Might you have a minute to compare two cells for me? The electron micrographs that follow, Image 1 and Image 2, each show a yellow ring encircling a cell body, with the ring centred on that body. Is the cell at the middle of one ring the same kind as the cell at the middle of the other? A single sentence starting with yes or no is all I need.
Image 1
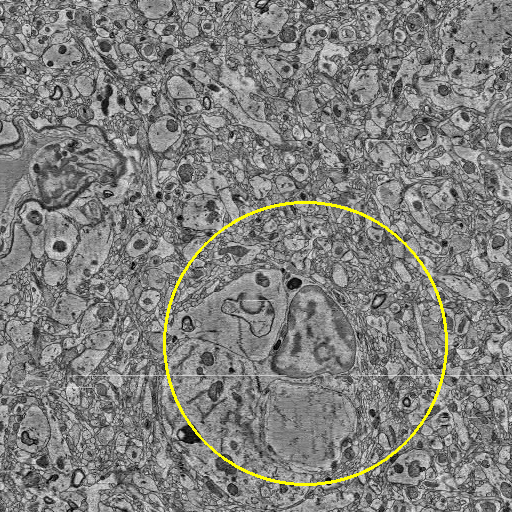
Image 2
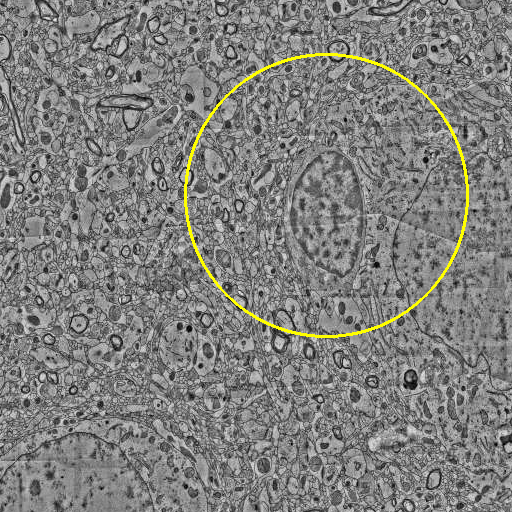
No, the cells in the middle of the two rings are of two separate kinds.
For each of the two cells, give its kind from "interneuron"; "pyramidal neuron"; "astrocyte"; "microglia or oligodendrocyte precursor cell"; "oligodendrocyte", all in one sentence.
The first picture has a microglial cell or oligodendrocyte precursor cell in its ring, the second has an oligodendrocyte.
